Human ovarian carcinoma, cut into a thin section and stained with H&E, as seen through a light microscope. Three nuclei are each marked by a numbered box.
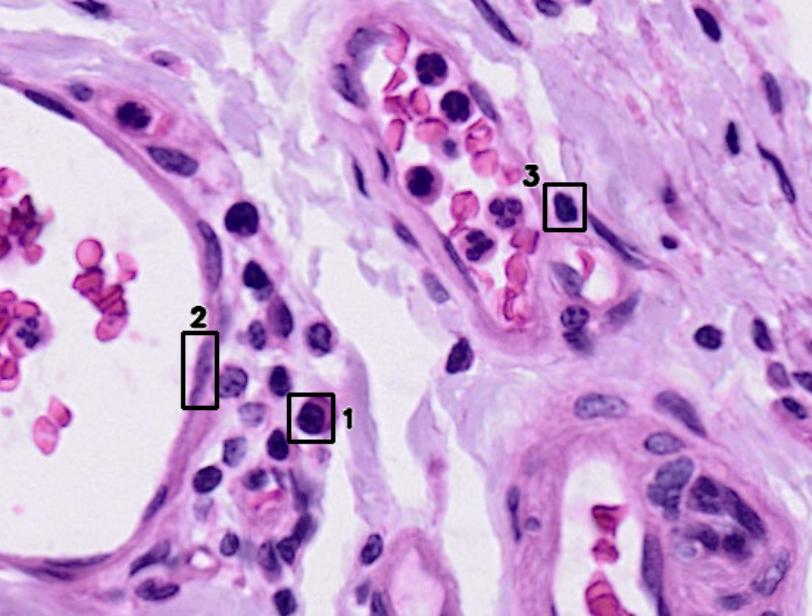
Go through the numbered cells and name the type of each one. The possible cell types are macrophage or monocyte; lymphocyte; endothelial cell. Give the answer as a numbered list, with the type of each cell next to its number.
1. lymphocyte
2. endothelial cell
3. lymphocyte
